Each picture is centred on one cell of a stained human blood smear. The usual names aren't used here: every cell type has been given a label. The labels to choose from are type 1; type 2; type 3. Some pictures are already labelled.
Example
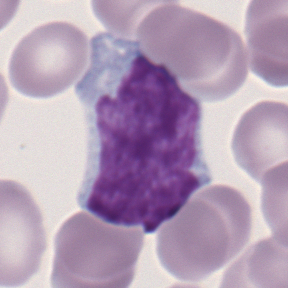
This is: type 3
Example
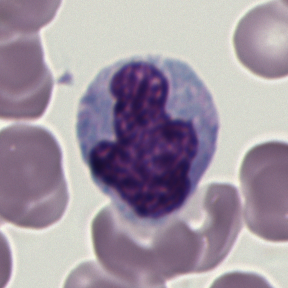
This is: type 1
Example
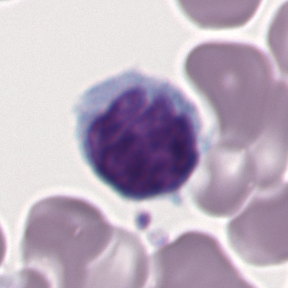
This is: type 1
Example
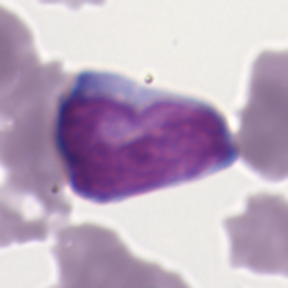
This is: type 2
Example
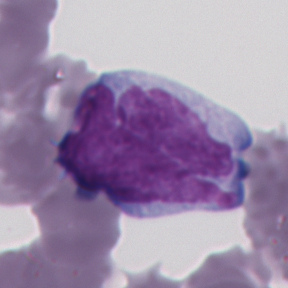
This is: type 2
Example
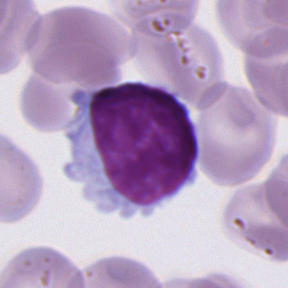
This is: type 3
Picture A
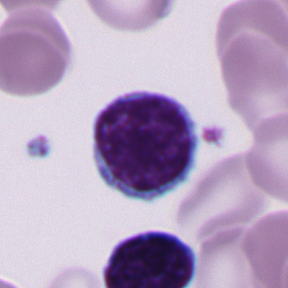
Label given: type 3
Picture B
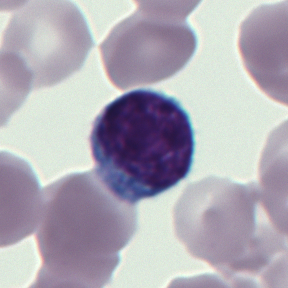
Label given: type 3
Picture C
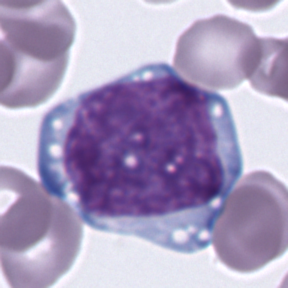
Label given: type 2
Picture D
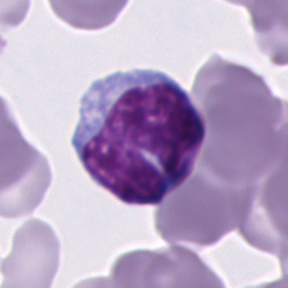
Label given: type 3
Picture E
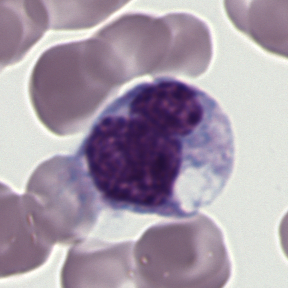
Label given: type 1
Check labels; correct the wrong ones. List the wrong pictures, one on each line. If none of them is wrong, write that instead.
All labels are correct.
